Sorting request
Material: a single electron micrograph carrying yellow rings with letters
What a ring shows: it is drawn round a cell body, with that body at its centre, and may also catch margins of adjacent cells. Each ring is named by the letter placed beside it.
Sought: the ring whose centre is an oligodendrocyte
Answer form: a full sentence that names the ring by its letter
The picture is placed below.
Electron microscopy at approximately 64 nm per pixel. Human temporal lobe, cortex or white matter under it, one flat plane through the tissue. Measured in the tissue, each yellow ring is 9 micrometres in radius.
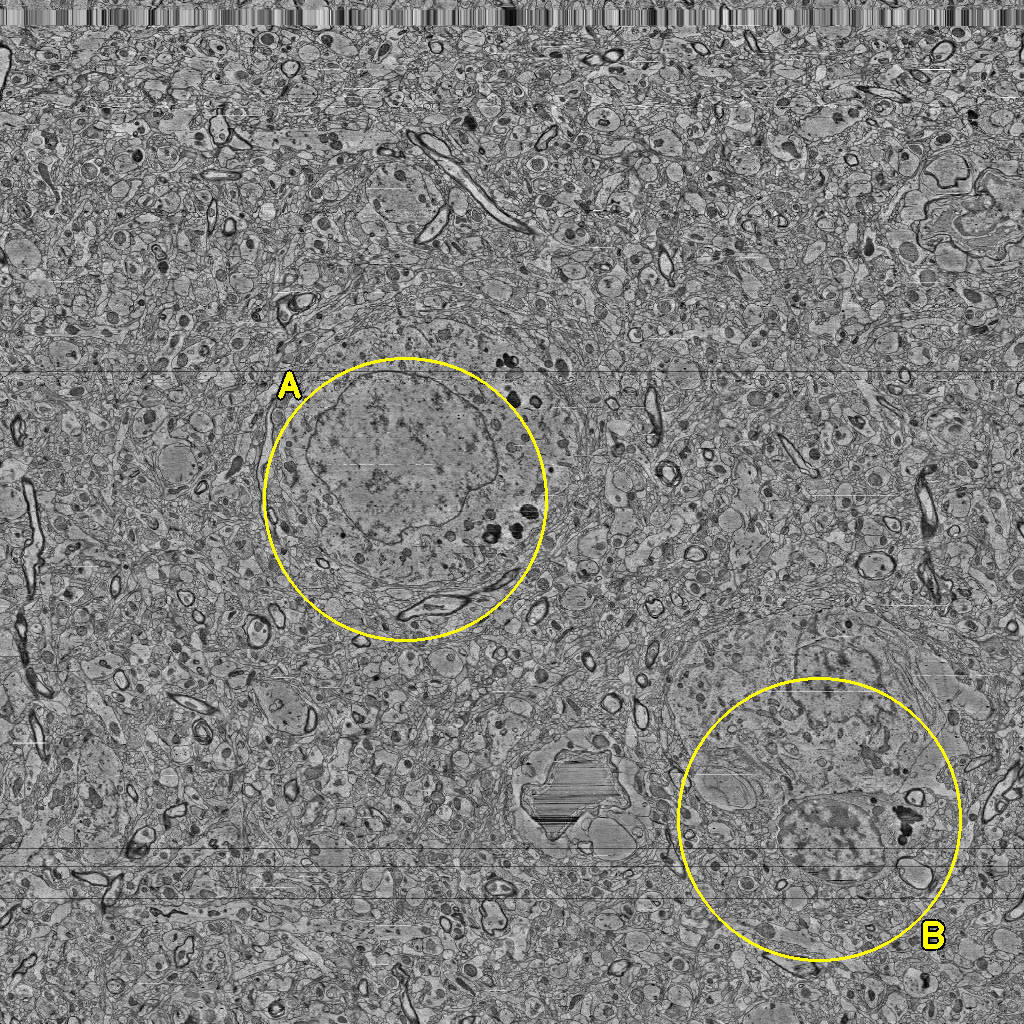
The ring centred on the cell asked for carries the letter B.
